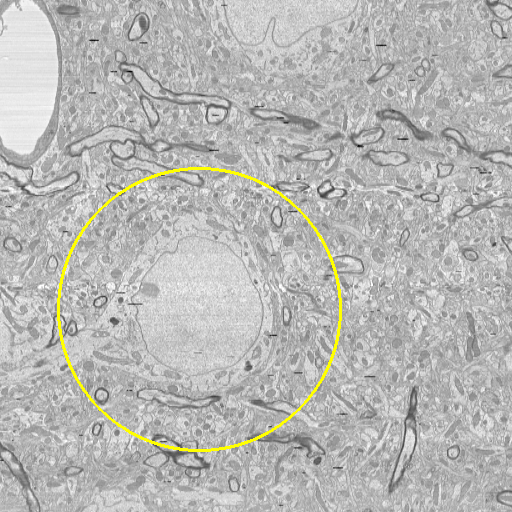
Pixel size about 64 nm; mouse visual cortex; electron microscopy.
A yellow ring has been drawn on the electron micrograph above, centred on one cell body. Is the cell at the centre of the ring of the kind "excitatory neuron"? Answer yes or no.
yes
